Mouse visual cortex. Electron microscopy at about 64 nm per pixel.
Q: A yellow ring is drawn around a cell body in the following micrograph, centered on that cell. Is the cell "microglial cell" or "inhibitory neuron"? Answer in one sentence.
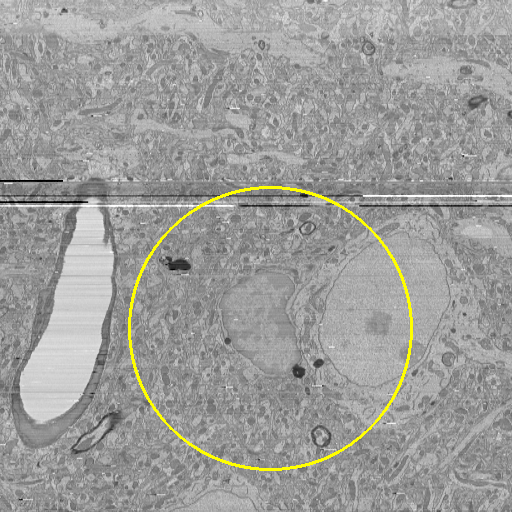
The cell in the center of the ring is a microglial cell.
